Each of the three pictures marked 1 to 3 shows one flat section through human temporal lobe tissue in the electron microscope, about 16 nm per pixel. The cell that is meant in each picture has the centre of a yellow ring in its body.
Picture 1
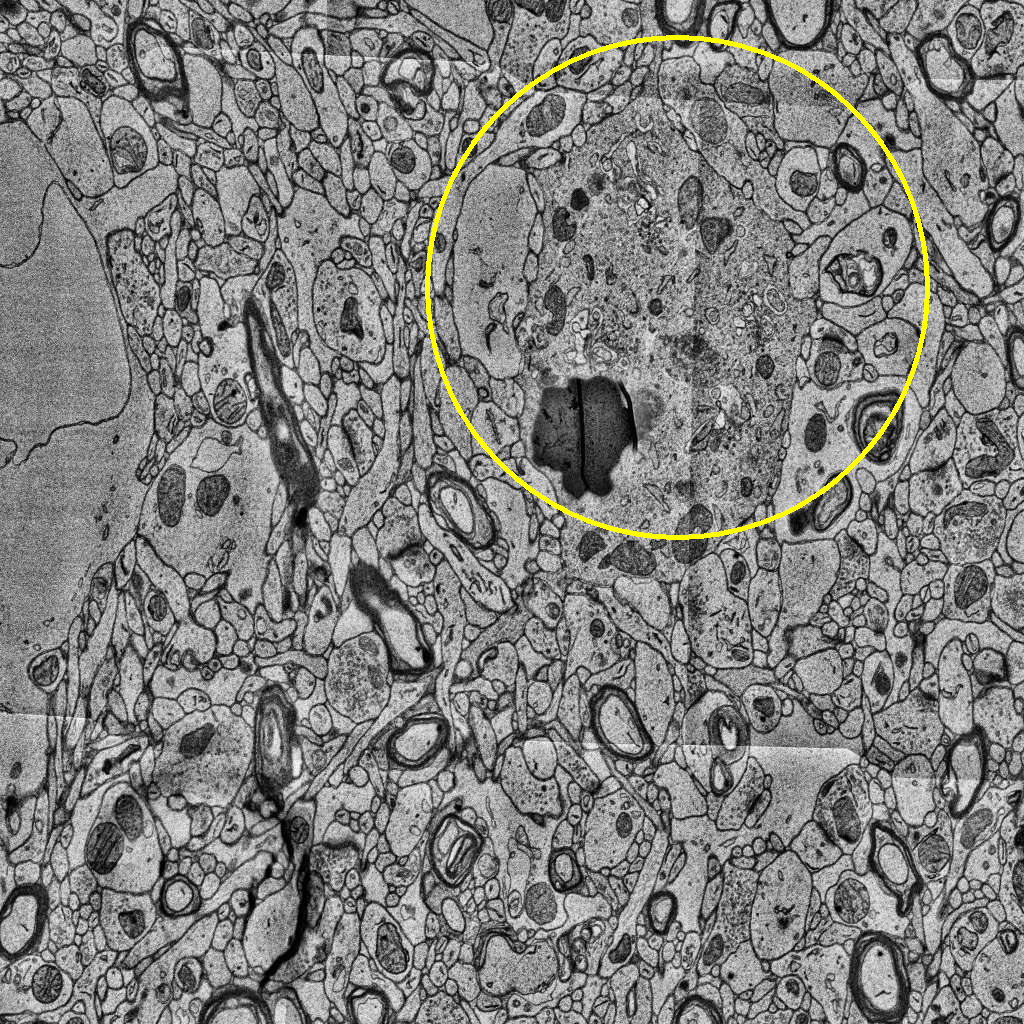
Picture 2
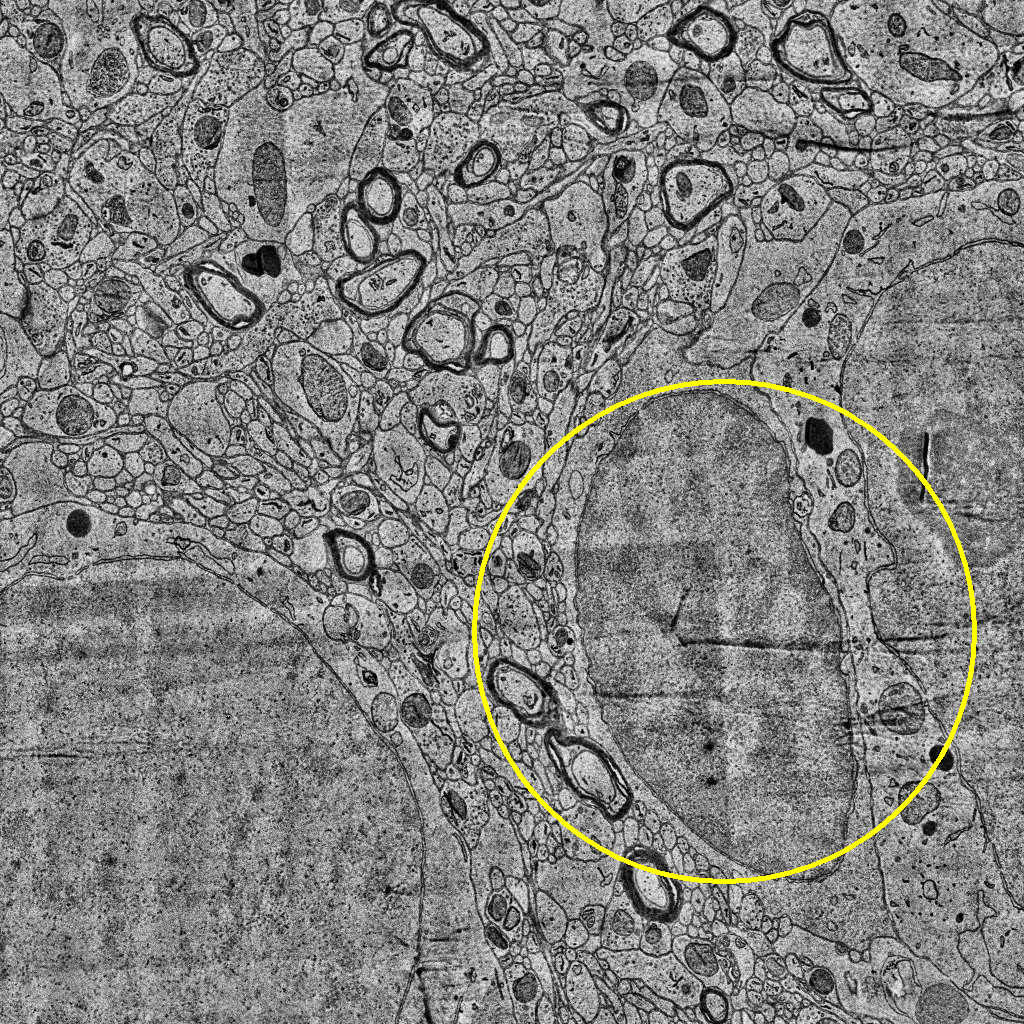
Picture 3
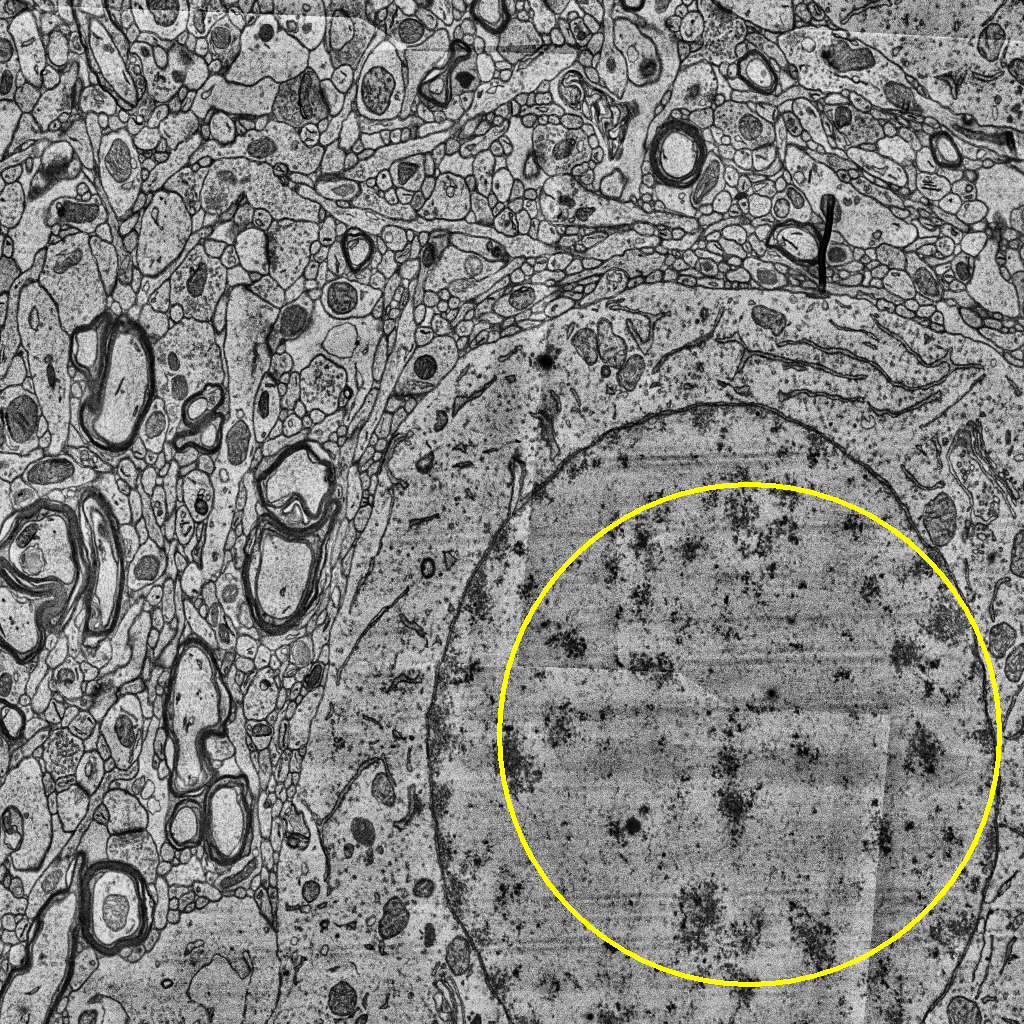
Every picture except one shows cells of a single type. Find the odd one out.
All pictures except 3 show oligodendrocytes; picture 3 shows a pyramidal neuron.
